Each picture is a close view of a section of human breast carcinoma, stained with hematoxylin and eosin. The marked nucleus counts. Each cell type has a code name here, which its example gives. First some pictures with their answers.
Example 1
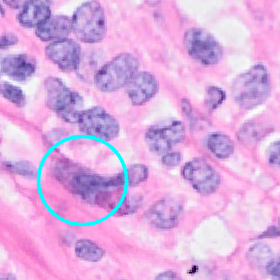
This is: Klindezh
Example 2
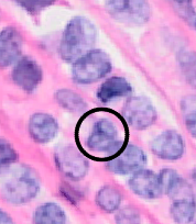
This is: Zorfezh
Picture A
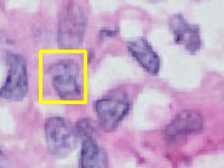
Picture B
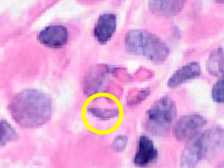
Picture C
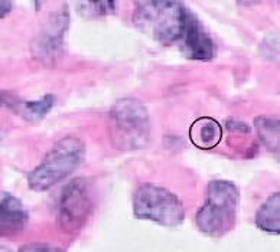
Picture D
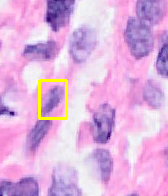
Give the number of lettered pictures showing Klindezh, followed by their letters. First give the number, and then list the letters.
3: B, C, D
